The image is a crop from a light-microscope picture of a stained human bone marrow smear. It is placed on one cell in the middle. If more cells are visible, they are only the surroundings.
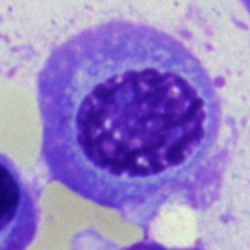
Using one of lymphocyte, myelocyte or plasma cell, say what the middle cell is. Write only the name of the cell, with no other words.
plasma cell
